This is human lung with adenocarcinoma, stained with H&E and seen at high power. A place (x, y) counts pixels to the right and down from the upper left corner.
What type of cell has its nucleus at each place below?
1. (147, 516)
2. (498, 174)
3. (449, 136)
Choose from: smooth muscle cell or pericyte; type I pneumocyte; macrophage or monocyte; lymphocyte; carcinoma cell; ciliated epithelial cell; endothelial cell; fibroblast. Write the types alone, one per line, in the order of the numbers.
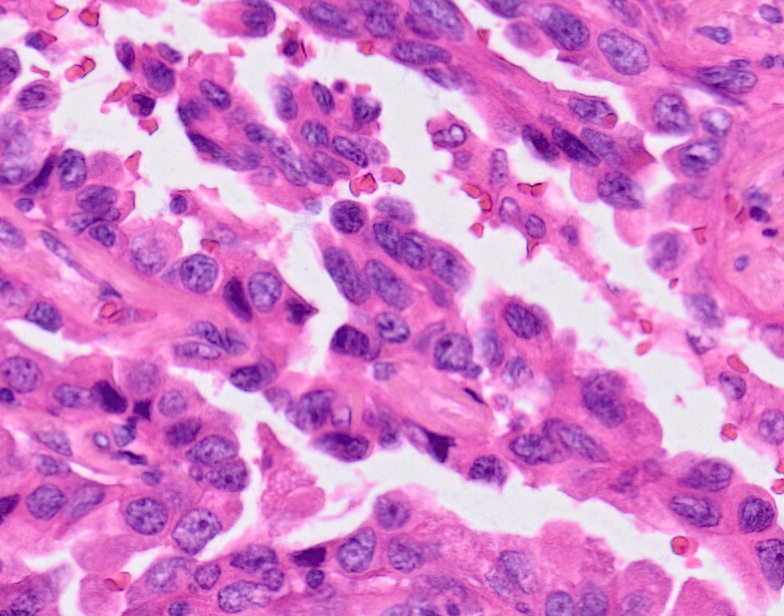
carcinoma cell
macrophage or monocyte
macrophage or monocyte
